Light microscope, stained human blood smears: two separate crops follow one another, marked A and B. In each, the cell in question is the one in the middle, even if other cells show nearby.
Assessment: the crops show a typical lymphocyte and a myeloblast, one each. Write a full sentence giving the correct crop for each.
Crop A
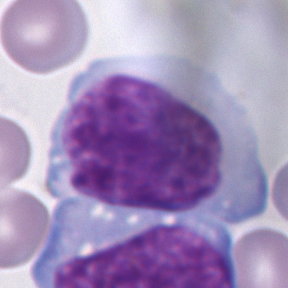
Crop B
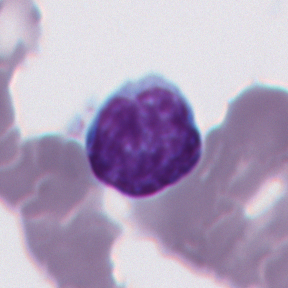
Well, crop A is a myeloblast, and crop B is a typical lymphocyte.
